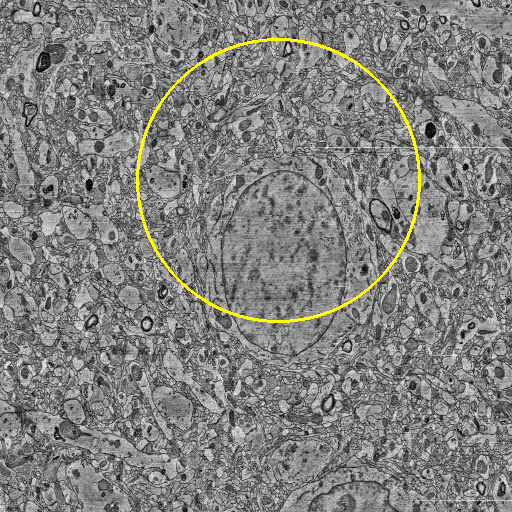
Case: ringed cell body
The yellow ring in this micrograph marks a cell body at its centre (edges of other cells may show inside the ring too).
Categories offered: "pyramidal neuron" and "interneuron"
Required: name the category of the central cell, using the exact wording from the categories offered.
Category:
pyramidal neuron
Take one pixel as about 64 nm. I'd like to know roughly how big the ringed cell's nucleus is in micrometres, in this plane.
The nucleus measures about 12 by 8 micrometres, so it is clearly longer than it is wide in this plane.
